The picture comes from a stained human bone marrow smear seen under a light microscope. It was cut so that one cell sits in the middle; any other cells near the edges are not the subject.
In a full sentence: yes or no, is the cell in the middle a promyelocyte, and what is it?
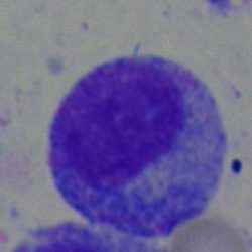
Yes, at the centre of the crop lies a promyelocyte.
